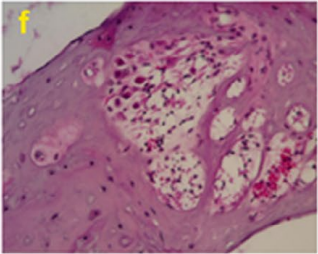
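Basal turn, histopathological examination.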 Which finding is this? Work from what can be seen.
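Few neuronal cell bodies remain in the canal. Large pale empty spaces with scattered small dark nuclei replace the cell bodies. On this evidence: degeneration of spiral ganglion neurons.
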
